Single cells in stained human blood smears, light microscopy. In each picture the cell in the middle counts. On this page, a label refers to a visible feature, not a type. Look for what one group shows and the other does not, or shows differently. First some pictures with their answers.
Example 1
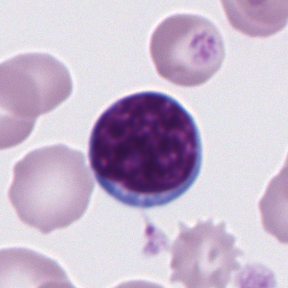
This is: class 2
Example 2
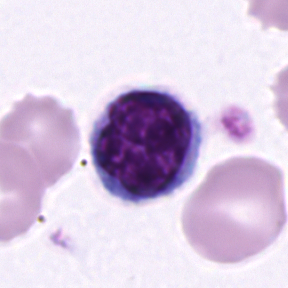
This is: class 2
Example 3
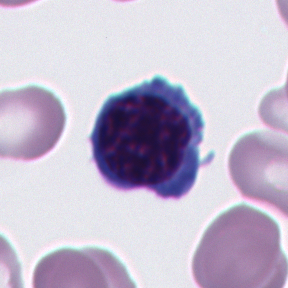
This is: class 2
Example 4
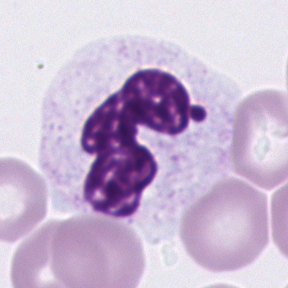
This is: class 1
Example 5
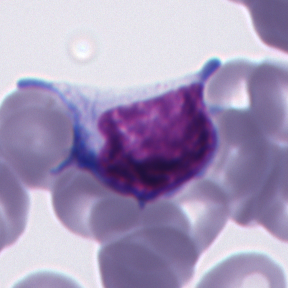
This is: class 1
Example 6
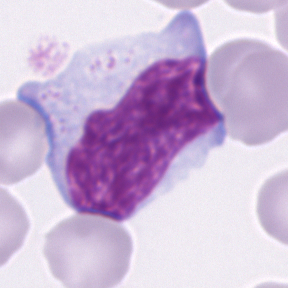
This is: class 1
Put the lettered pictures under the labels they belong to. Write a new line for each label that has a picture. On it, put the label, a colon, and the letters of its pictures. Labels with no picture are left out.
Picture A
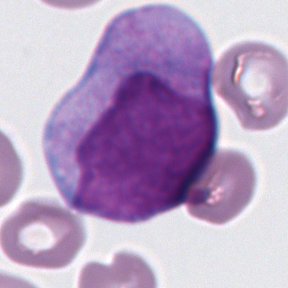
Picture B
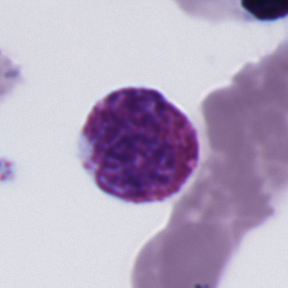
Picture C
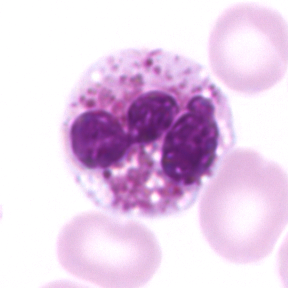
class 2: B
class 1: A, C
